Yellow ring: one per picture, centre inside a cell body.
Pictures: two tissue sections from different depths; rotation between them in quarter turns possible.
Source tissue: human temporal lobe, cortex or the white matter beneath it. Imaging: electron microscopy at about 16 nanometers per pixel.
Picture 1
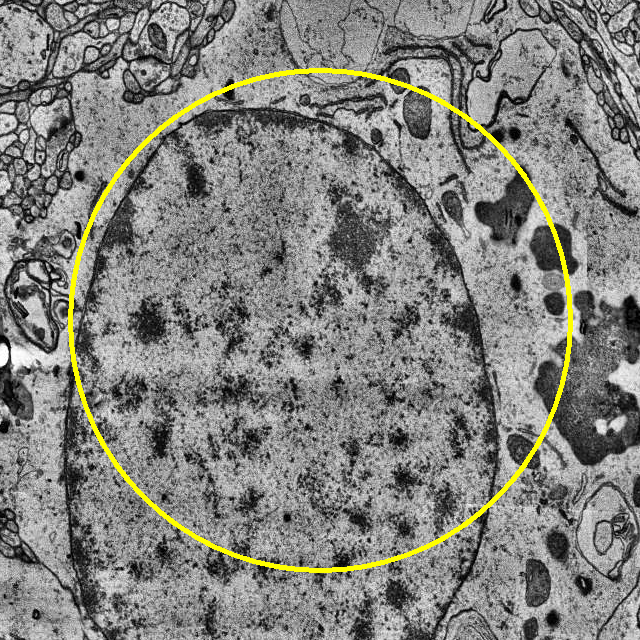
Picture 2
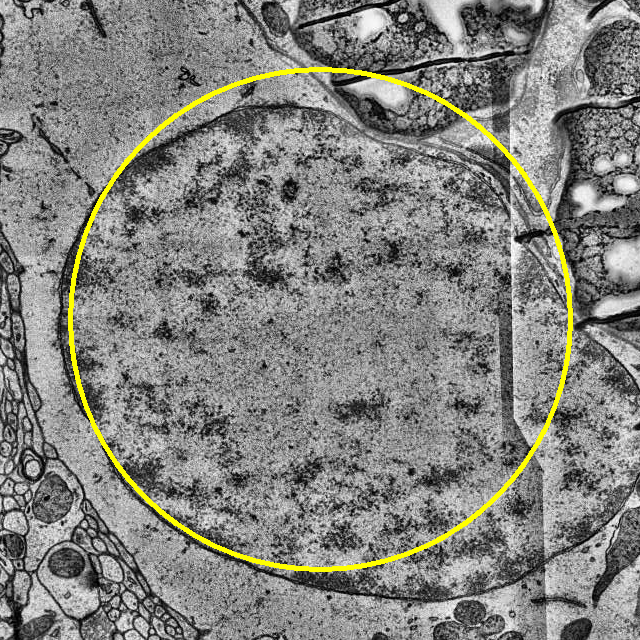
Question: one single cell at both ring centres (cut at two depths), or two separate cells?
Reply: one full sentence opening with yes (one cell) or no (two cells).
No, within the two rings lie two different cells.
